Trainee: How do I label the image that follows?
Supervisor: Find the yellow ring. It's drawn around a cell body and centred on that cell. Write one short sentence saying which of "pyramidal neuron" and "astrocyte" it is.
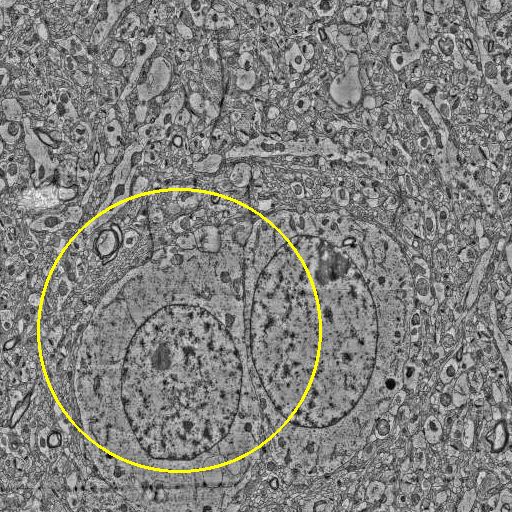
This is the cell body of a pyramidal neuron.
